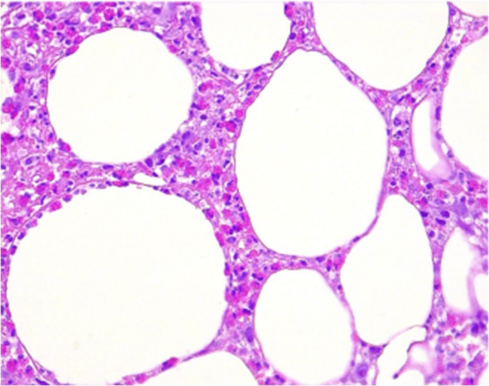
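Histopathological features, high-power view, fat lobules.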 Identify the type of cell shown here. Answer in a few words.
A: Eosinophils.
